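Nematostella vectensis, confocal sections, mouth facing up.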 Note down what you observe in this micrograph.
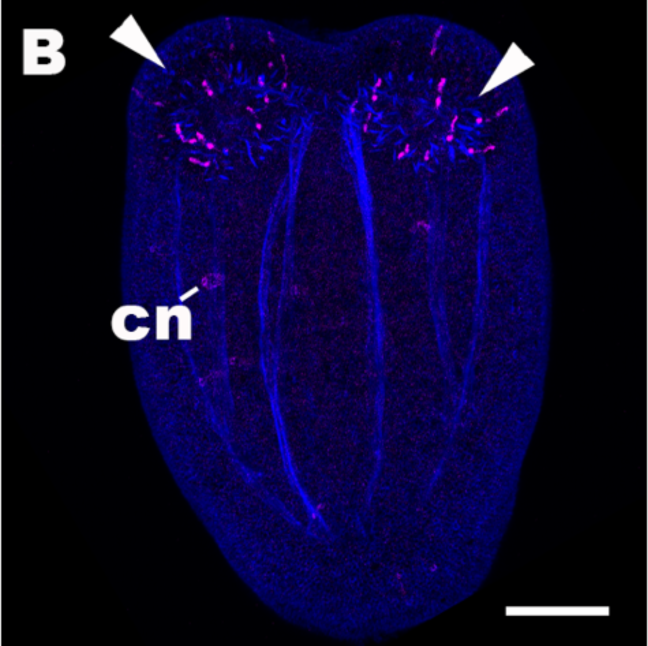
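This is a whole elongated larva seen from the side, with two rounded swellings forming at its upper end where tentacles are budding. Several longitudinal blue lines run along the length of the body. Elsewhere in the body only a few faint, scattered magenta cells are seen.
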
